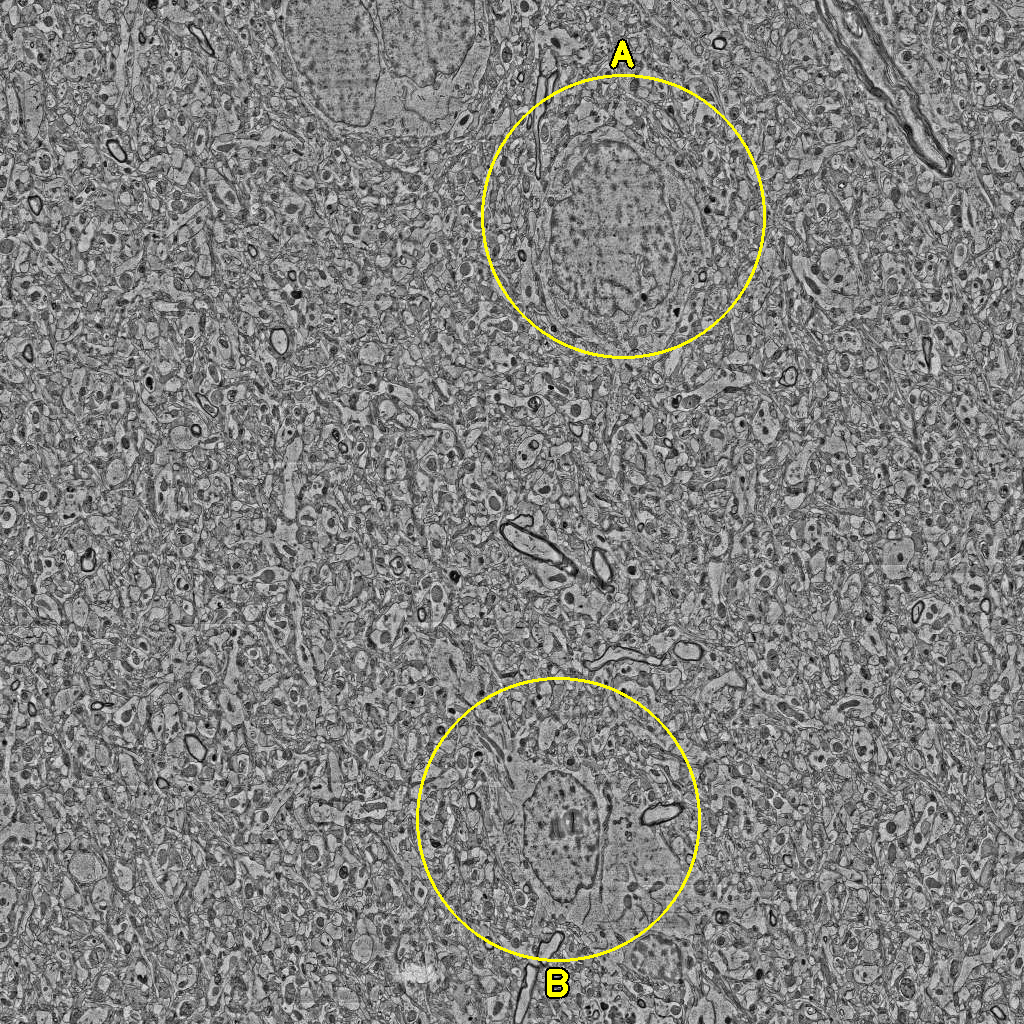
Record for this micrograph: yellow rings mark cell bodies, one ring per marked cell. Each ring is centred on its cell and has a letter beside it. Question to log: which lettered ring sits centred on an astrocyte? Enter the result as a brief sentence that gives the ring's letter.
Ring B holds it at its centre.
